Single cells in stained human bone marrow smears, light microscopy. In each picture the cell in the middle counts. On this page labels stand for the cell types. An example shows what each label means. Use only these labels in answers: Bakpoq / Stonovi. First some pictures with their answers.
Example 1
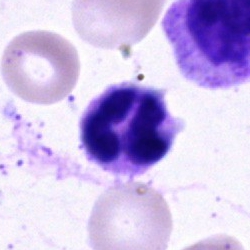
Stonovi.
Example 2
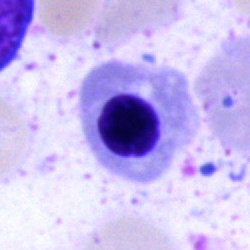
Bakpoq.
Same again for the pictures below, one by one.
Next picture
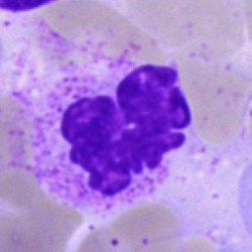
Stonovi.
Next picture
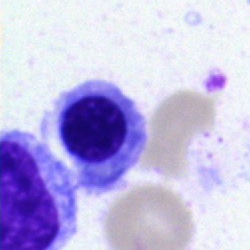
Bakpoq.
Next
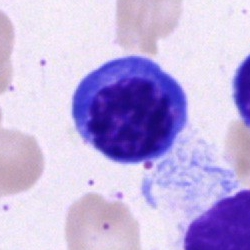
Bakpoq.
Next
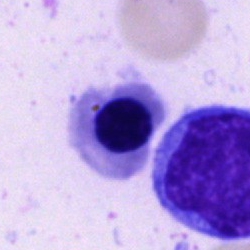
Bakpoq.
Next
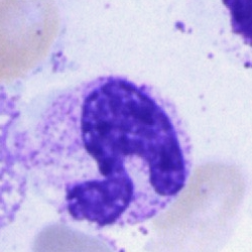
Stonovi.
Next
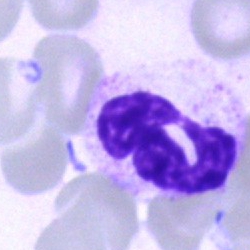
Stonovi.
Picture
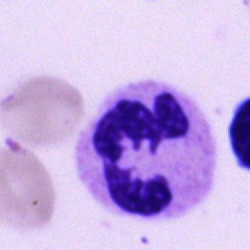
Stonovi.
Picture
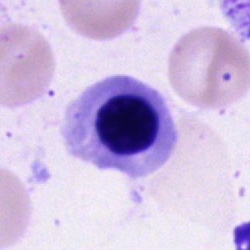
Bakpoq.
